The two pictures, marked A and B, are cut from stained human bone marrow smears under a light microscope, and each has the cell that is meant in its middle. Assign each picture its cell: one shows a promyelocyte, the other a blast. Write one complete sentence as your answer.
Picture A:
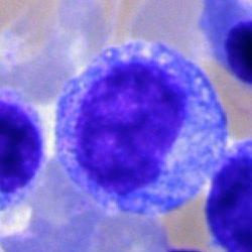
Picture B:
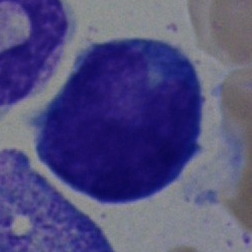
Picture B shows a blast, while picture A shows a promyelocyte.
